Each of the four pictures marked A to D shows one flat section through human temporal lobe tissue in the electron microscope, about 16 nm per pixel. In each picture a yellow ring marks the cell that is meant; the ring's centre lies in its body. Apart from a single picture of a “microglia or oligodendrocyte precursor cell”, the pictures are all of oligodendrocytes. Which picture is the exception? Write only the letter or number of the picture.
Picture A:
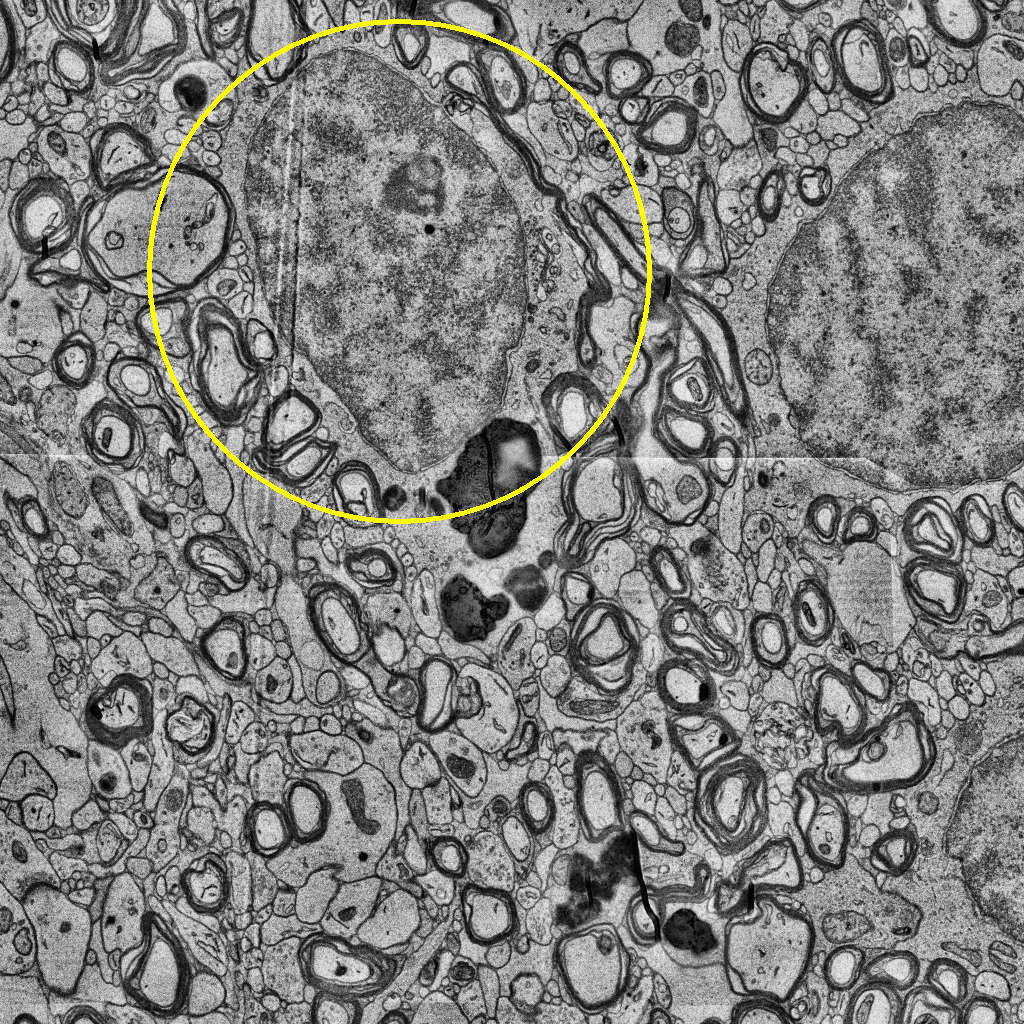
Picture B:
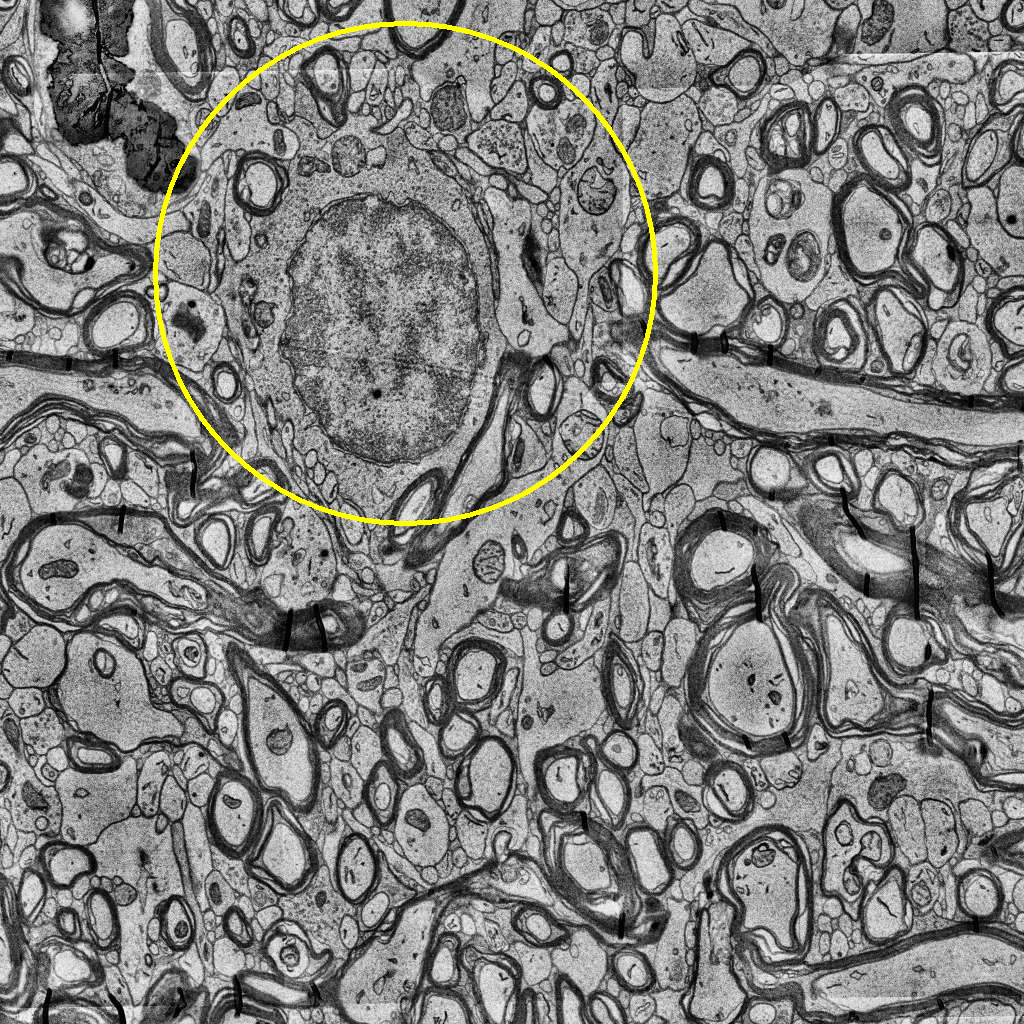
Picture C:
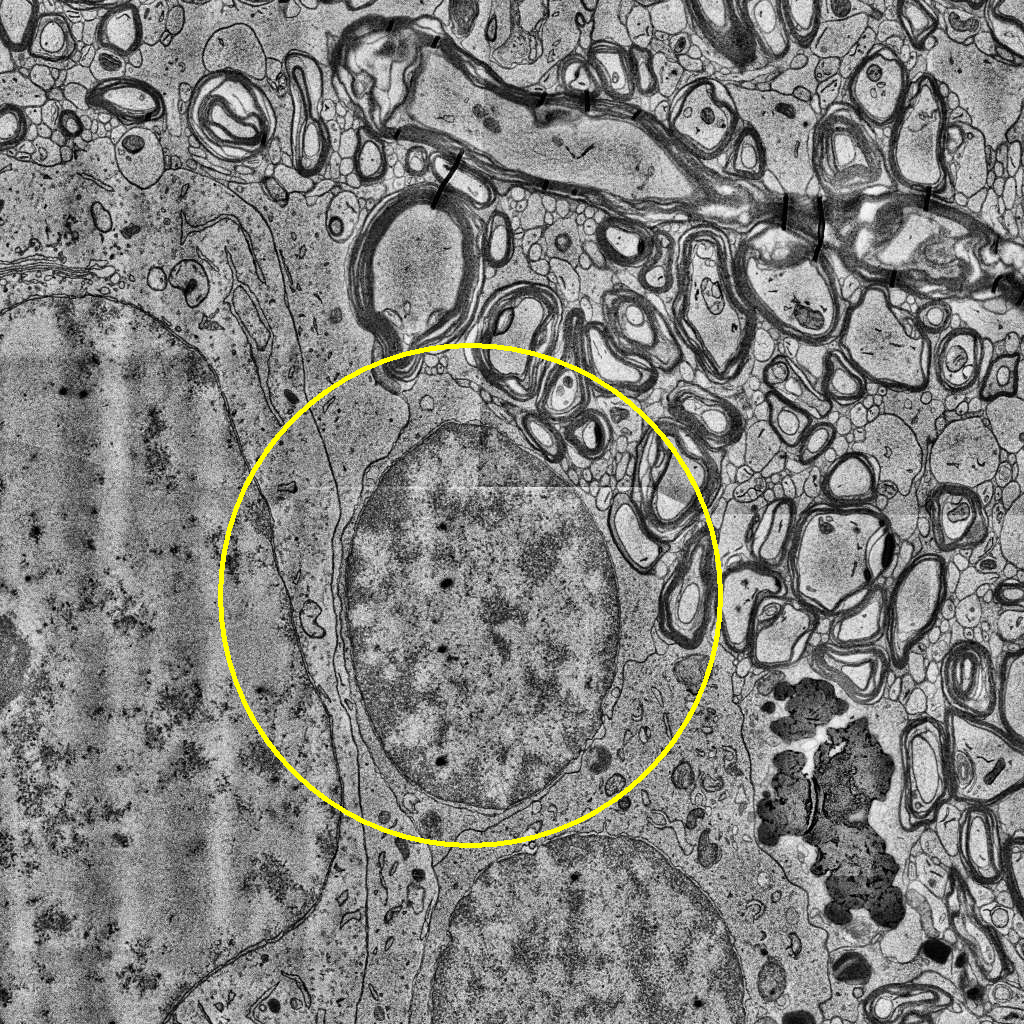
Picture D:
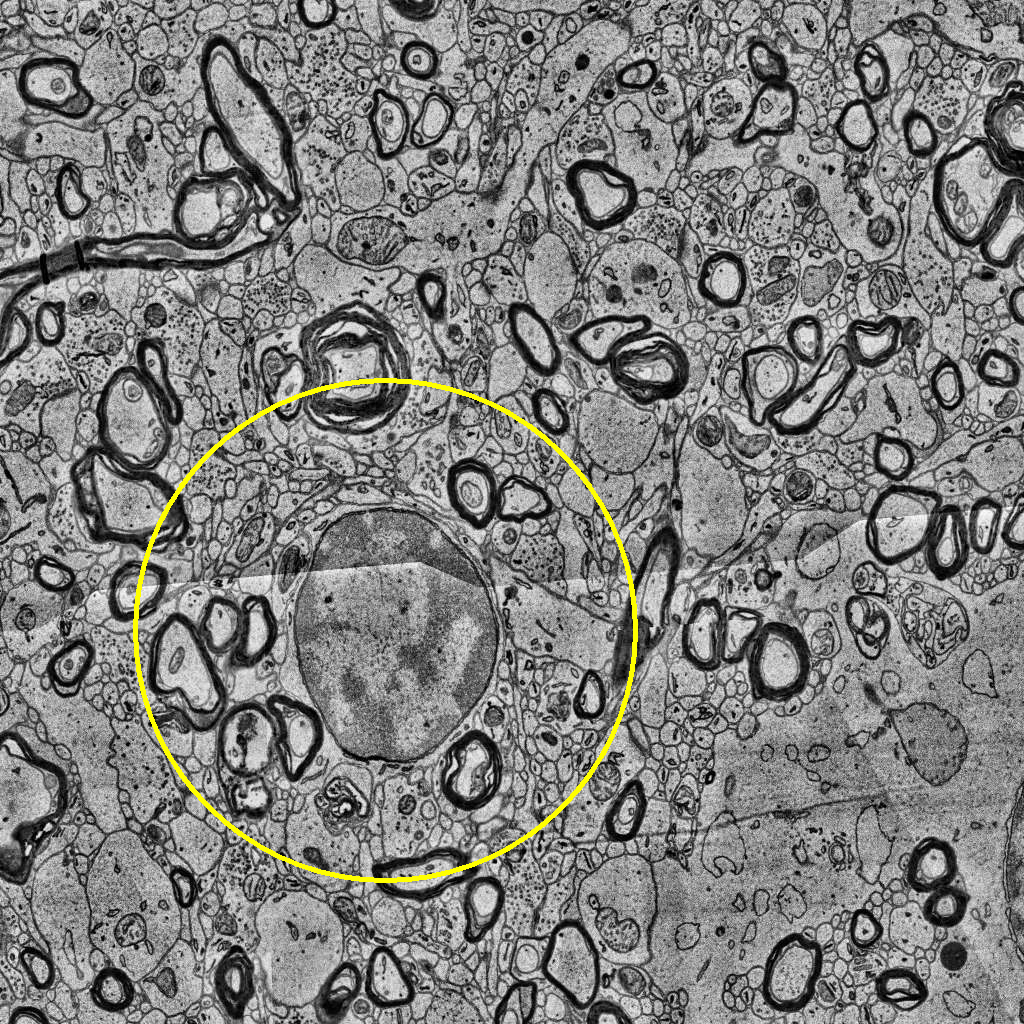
D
